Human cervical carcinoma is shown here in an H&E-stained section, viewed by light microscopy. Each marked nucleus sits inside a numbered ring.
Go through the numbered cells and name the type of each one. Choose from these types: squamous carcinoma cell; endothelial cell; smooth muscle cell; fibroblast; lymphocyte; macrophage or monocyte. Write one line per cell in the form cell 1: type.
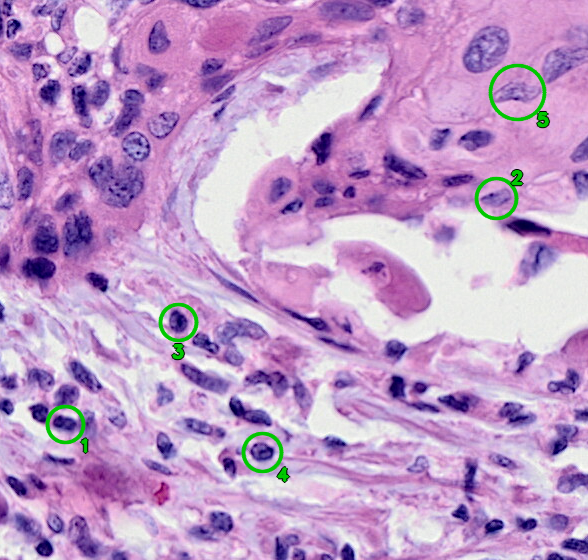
cell 1: lymphocyte
cell 2: squamous carcinoma cell
cell 3: lymphocyte
cell 4: lymphocyte
cell 5: squamous carcinoma cell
